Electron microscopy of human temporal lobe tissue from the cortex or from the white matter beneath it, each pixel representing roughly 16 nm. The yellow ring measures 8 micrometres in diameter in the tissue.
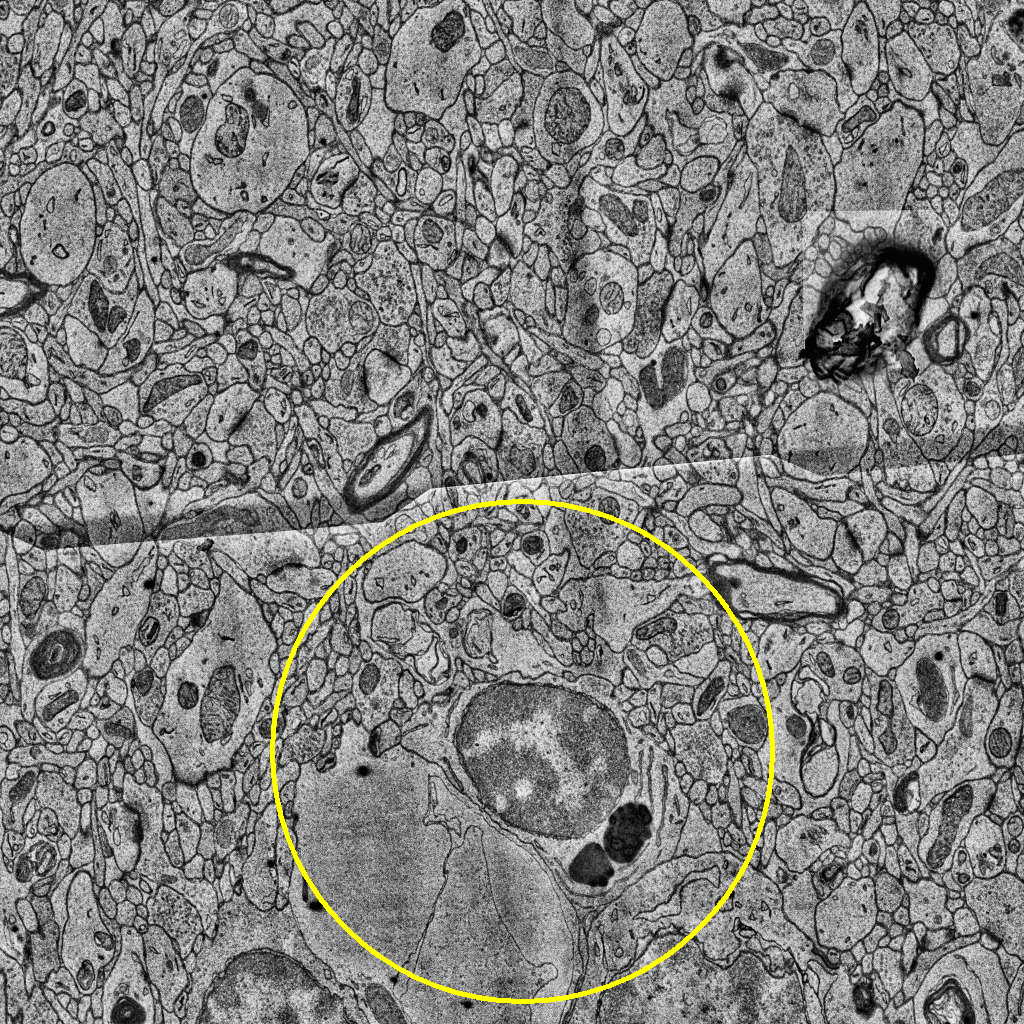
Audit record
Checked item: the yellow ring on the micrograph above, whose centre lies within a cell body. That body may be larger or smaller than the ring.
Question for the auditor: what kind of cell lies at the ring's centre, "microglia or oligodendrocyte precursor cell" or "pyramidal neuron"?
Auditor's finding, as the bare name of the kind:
microglia or oligodendrocyte precursor cell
